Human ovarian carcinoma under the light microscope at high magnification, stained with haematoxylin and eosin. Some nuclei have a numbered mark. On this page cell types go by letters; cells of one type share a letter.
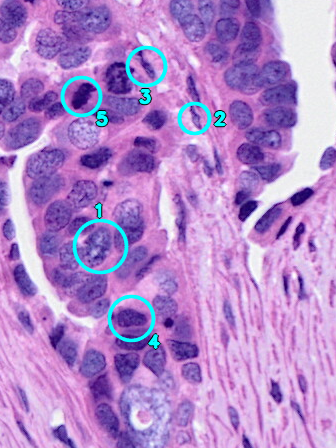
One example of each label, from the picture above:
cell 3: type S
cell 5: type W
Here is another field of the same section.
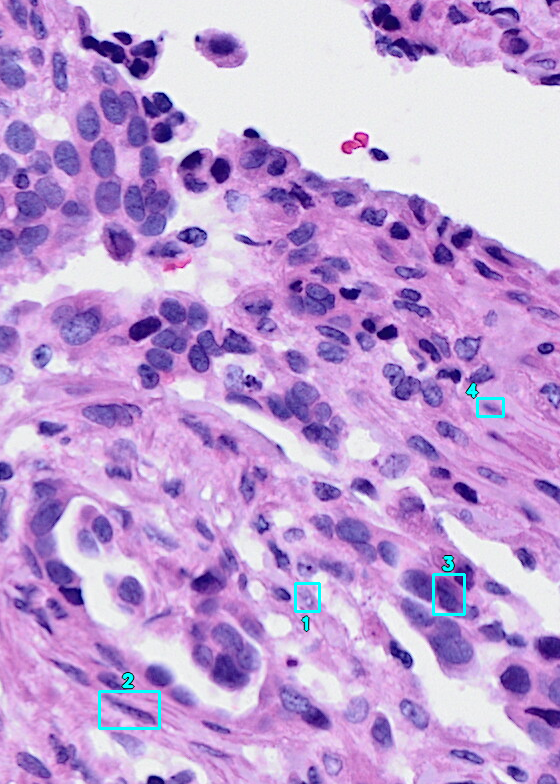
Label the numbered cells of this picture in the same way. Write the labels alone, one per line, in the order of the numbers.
type S
type S
type W
type S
